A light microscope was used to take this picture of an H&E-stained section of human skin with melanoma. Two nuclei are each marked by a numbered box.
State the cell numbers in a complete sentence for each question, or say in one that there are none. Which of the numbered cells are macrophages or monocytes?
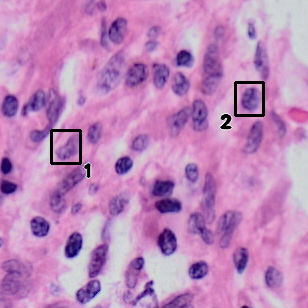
Only the nucleus marked 1 is that of a macrophage or monocyte.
